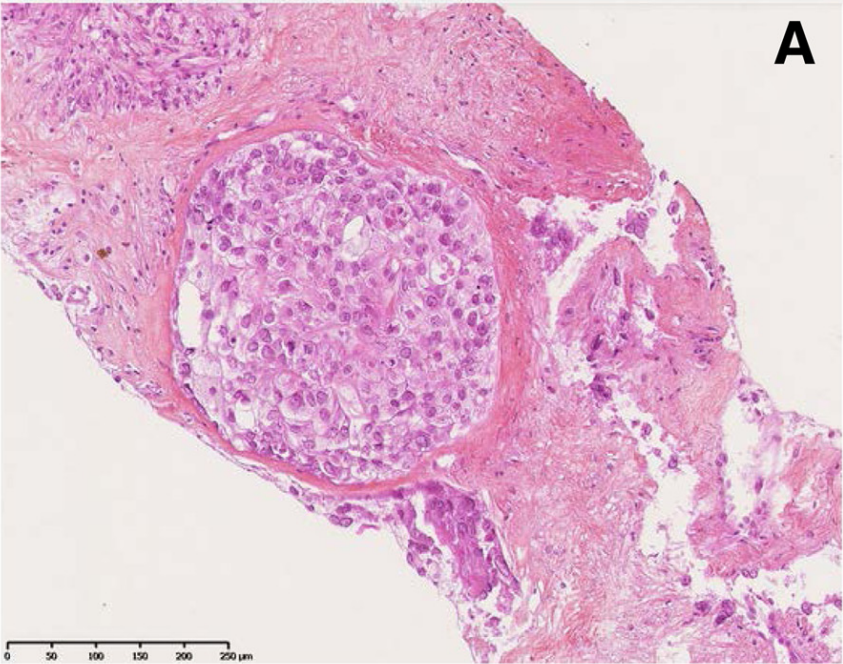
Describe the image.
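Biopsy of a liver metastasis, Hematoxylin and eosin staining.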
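In the centre lies a rounded nest of closely packed tumor cells, sharply bounded by a thin band of pink fibrous tissue. The cells have large, round to oval purple nuclei and pale to clear cytoplasm, and a few small empty spaces lie among them. Around the nest the tissue is pink, fibrous stroma with scattered smaller nuclei, and further tumor cell clusters lie along the lower and right edges of the fragment.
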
